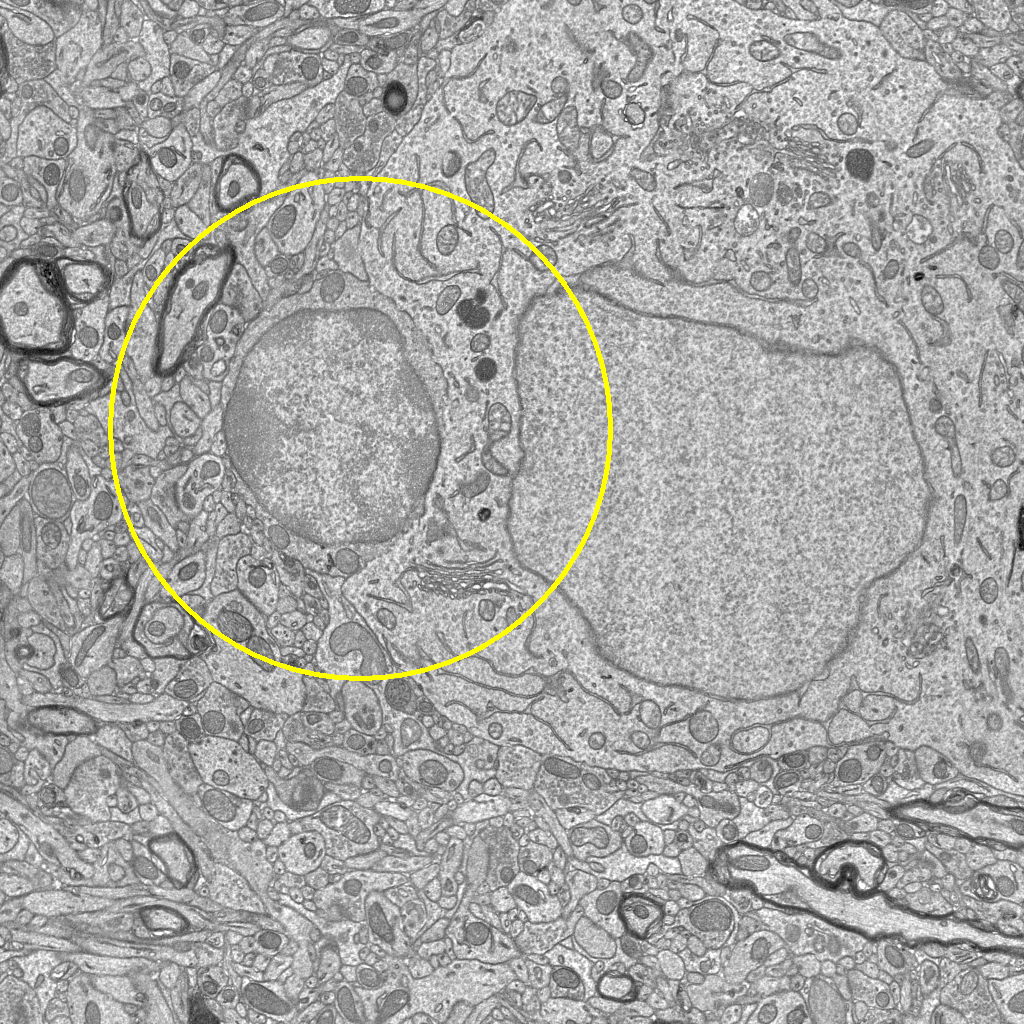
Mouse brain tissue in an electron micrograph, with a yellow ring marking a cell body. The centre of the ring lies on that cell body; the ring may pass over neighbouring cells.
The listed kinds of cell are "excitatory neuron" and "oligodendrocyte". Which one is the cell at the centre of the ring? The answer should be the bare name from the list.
oligodendrocyte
